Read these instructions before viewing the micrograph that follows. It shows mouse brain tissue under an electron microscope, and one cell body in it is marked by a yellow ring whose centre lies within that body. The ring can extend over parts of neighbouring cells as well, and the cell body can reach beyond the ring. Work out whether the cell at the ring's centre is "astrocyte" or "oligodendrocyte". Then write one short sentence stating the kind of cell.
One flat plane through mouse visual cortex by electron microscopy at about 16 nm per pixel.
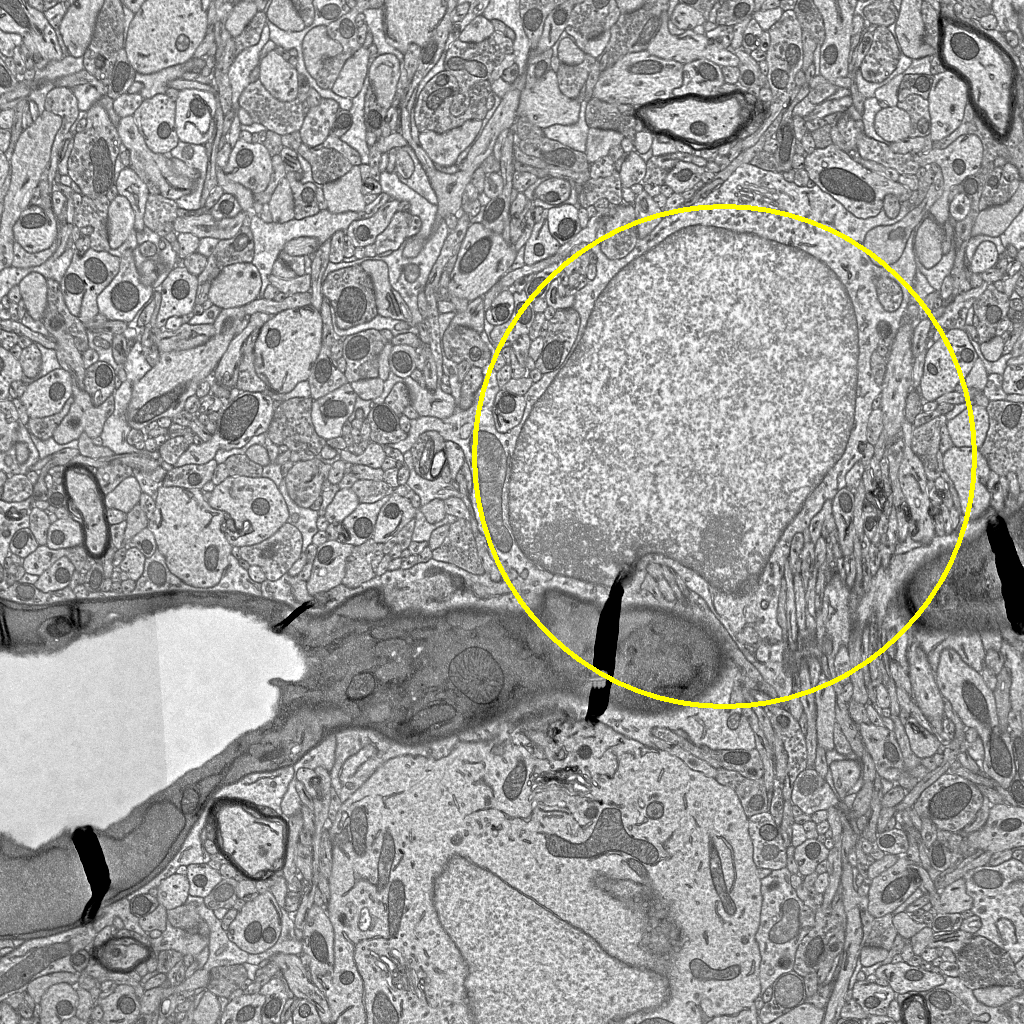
The cell at the ring's centre is an astrocyte.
